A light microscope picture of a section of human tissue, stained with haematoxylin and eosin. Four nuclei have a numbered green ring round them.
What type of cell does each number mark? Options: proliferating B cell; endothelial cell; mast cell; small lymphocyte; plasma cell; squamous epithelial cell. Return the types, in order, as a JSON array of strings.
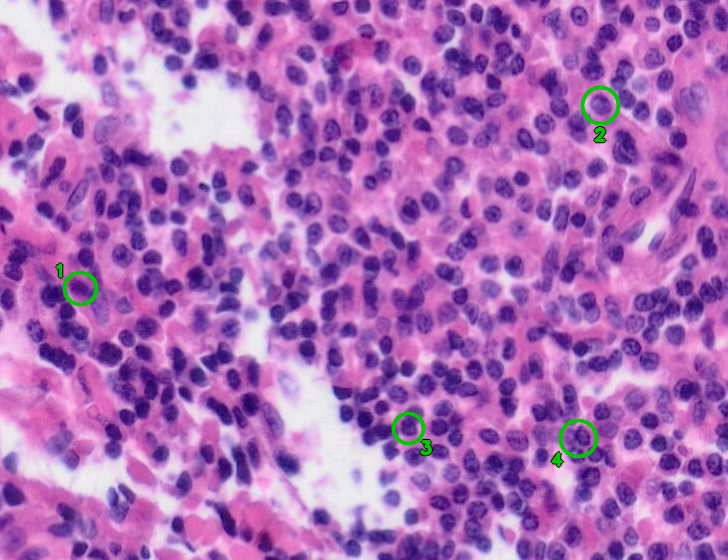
["endothelial cell", "plasma cell", "small lymphocyte", "plasma cell"]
